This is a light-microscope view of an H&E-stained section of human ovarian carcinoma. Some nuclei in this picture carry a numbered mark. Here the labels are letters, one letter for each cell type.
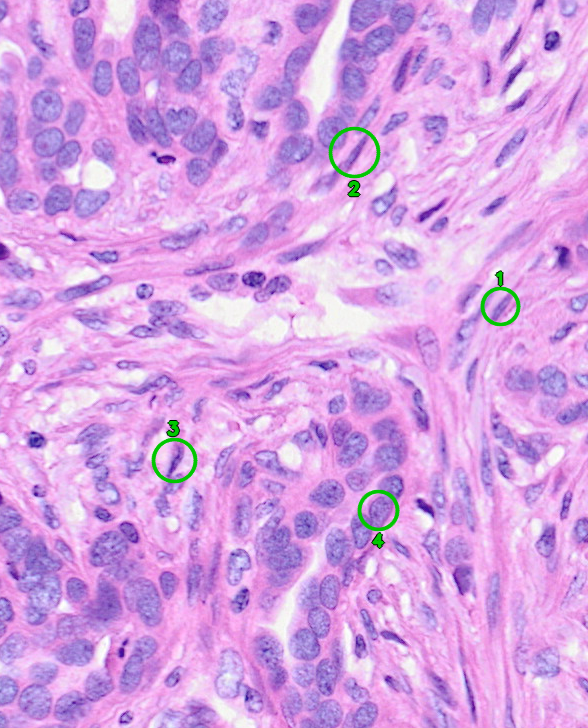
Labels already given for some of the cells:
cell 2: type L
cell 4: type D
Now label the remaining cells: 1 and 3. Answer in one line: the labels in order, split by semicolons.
type L; type L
